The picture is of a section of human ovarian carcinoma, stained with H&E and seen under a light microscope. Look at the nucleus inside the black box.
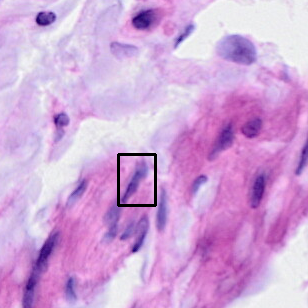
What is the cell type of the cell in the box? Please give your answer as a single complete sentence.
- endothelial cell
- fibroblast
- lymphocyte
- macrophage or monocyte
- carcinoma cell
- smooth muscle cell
The identity of the cell in the box: it is a smooth muscle cell.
